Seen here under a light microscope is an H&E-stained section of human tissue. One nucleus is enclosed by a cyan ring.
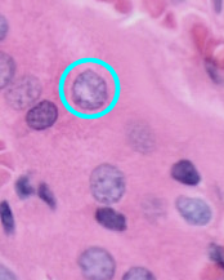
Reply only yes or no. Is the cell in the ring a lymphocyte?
no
